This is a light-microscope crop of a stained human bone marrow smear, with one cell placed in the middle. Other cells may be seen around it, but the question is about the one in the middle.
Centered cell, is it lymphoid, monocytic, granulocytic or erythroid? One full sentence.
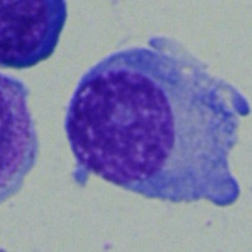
The lineage represented by the cell in the middle is lymphoid.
